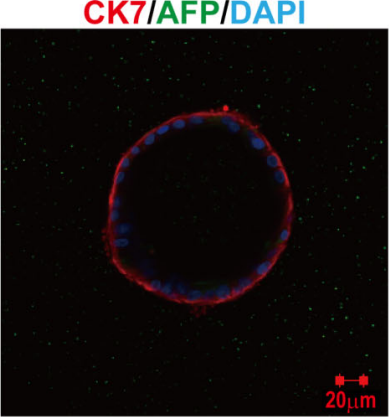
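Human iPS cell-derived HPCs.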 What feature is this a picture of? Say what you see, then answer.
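Epithelial cyst. A single layer of cells forms a closed round ring. The ring surrounds an empty central lumen.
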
